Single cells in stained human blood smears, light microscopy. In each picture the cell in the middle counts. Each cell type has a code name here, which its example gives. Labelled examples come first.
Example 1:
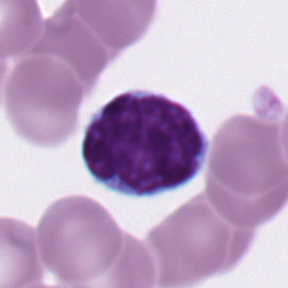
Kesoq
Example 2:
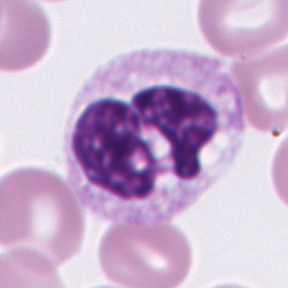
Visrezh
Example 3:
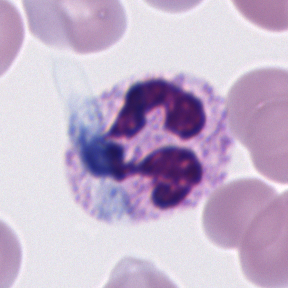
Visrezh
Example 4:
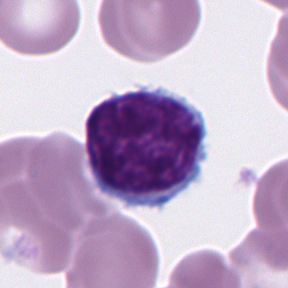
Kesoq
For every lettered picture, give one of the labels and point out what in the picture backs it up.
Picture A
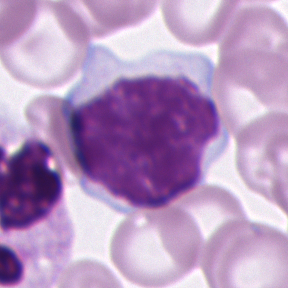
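Kesoq: The nucleus fills most of the cell.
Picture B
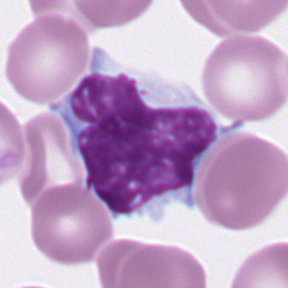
Kesoq: The nucleus fills most of the cell.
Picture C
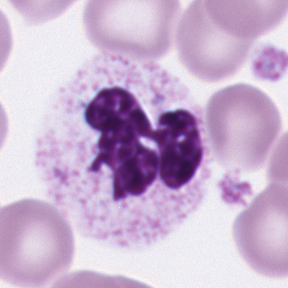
Visrezh: Distinct pinkish-red granules are scattered throughout the cytoplasm.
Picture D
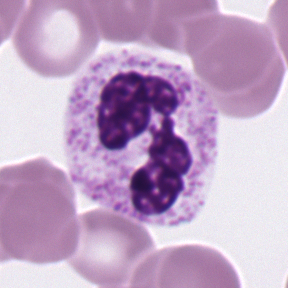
Visrezh: The cytoplasm is pale pink.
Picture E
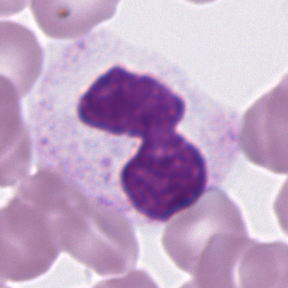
Visrezh: The cytoplasm is abundant and pale greyish-lilac.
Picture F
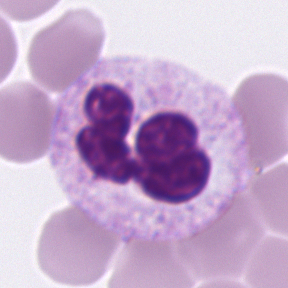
Visrezh: The cytoplasm is abundant and pale pinkish-lilac.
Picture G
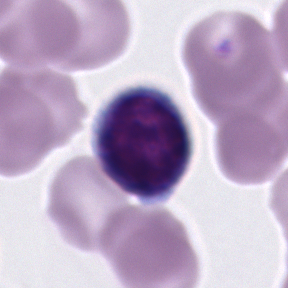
Kesoq: The cytoplasm forms only a very thin rim around the nucleus.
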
